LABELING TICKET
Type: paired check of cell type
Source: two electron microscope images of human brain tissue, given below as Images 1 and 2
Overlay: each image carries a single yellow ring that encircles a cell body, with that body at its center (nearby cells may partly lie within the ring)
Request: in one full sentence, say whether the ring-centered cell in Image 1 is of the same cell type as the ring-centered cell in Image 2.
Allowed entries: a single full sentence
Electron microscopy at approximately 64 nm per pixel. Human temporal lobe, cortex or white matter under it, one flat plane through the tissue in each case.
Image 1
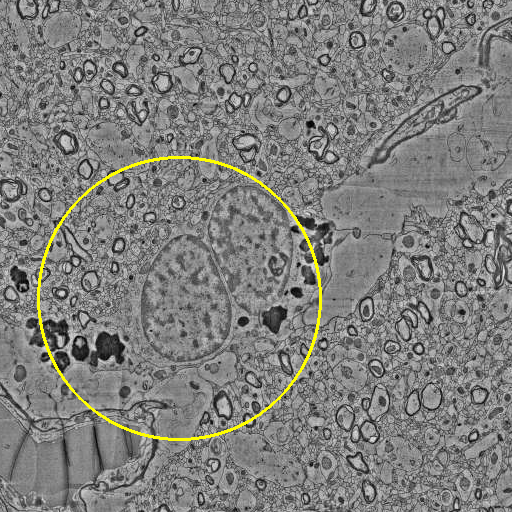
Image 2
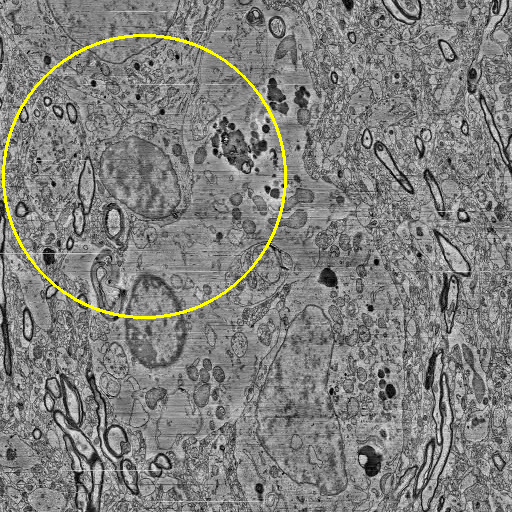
Yes, the cells centered in the rings of Image 1 and Image 2 share one type.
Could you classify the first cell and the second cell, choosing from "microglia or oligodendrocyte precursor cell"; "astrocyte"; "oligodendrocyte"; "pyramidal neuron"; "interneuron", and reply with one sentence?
Each one of the two ringed cells is an oligodendrocyte.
